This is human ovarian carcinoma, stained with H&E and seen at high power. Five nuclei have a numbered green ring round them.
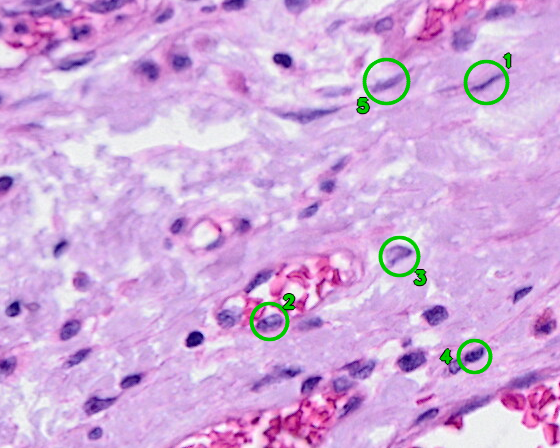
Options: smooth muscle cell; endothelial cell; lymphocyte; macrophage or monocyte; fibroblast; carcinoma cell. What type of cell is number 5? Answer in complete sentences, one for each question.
Classified as a fibroblast is the cell with the number 5.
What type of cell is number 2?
Number 2 among the marked cells is an endothelial cell.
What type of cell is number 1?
Corresponding to a fibroblast is the cell labelled 1.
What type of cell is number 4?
The marked cell with the number 4 is recognised as a lymphocyte.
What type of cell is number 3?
The cell marked with the number 3 is a fibroblast.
